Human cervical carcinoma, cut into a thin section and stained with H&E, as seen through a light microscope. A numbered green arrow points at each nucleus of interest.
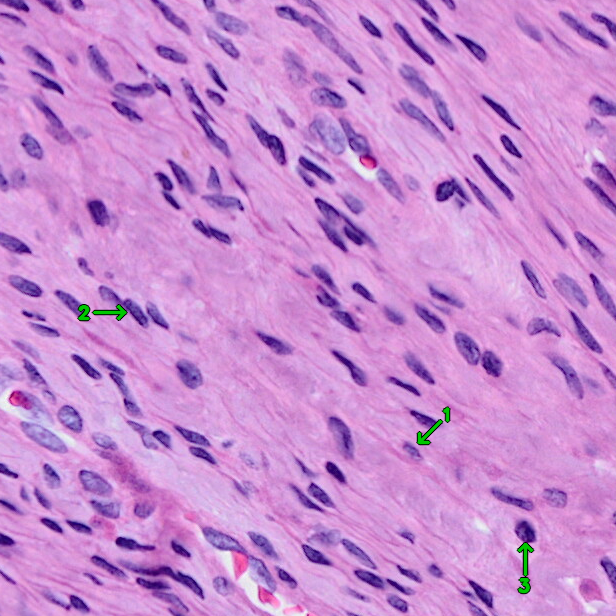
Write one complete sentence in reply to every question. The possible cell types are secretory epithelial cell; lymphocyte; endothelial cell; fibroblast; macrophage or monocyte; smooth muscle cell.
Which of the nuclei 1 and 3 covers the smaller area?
With nucleus 3 about 2.5 times its size, nucleus 1 is the smaller of the two.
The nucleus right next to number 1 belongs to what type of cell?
It is a fibroblast whose nucleus is nearest to number 1.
